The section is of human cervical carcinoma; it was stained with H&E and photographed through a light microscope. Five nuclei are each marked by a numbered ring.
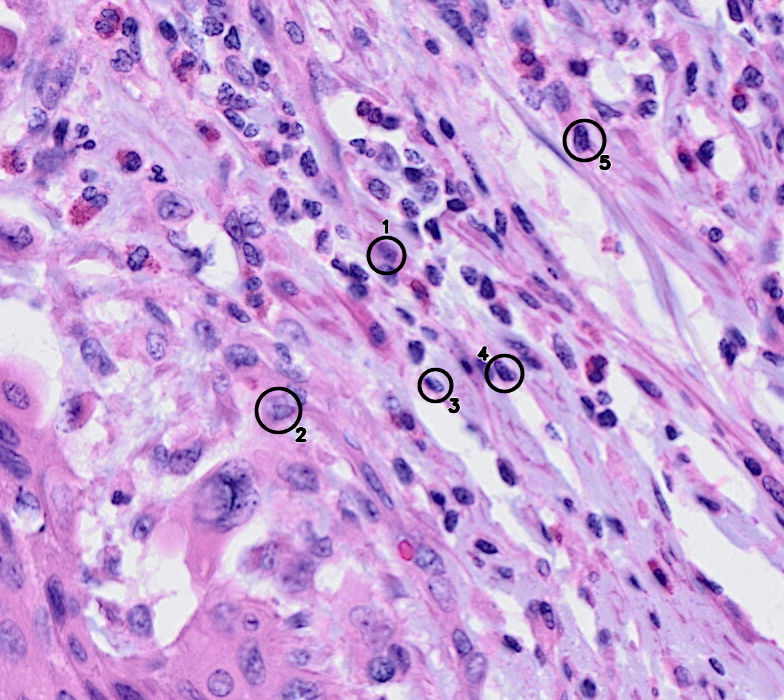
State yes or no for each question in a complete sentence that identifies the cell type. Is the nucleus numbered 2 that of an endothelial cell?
Yes, the cell that bears number 2 is an endothelial cell.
